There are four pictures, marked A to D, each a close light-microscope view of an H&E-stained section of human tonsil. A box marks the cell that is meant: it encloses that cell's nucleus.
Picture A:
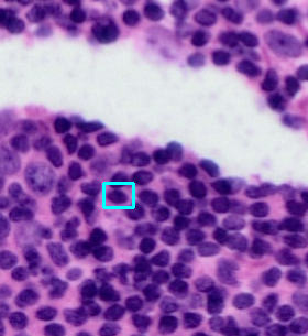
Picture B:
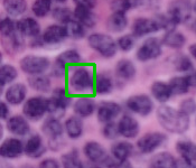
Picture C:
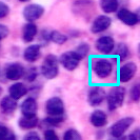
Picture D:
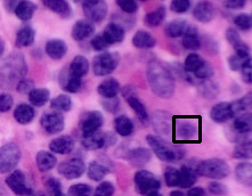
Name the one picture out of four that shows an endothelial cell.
D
